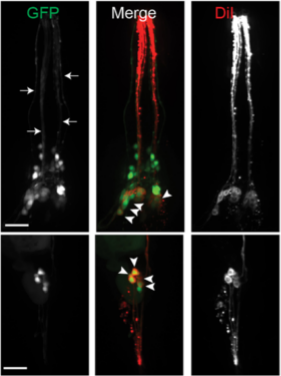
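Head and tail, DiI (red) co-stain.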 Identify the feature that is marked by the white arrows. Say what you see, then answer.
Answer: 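Thin green fluorescent lines run lengthwise toward the anterior end of the head. The arrows point at these thin lines far from the cluster of cell bodies.
Answer: long dendritic processes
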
